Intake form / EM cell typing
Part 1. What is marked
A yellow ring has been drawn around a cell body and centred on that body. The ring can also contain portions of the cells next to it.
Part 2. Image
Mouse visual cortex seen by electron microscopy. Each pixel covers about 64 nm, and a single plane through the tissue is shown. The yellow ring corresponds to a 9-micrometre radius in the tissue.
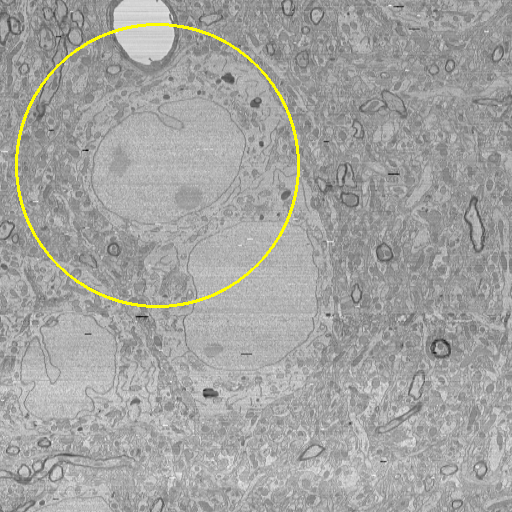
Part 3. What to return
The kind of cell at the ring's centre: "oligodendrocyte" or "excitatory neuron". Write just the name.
excitatory neuron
